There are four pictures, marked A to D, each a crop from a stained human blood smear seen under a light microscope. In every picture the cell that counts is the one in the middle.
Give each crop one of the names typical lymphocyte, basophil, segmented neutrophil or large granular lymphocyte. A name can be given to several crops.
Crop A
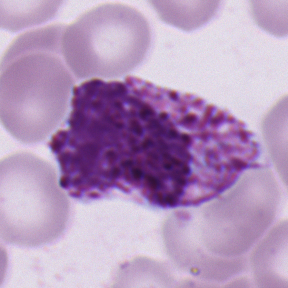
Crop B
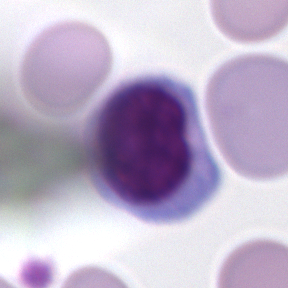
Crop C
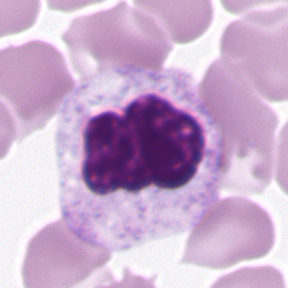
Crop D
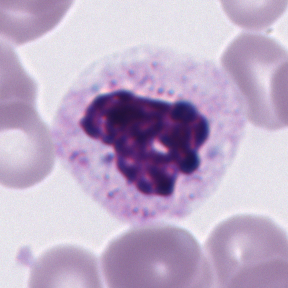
A: basophil
B: typical lymphocyte
C: segmented neutrophil
D: segmented neutrophil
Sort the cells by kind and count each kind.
segmented neutrophil: 2
basophil: 1
typical lymphocyte: 1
